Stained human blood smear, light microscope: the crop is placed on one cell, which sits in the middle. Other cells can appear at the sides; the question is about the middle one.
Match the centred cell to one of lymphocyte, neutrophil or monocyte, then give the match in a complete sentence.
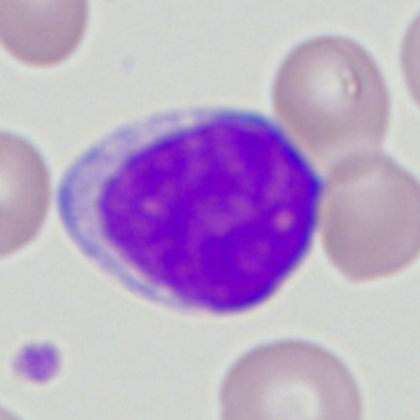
The cell in the middle of this crop is a lymphocyte.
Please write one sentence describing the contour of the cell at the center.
Its periphery is smooth, and no projections arise from it.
